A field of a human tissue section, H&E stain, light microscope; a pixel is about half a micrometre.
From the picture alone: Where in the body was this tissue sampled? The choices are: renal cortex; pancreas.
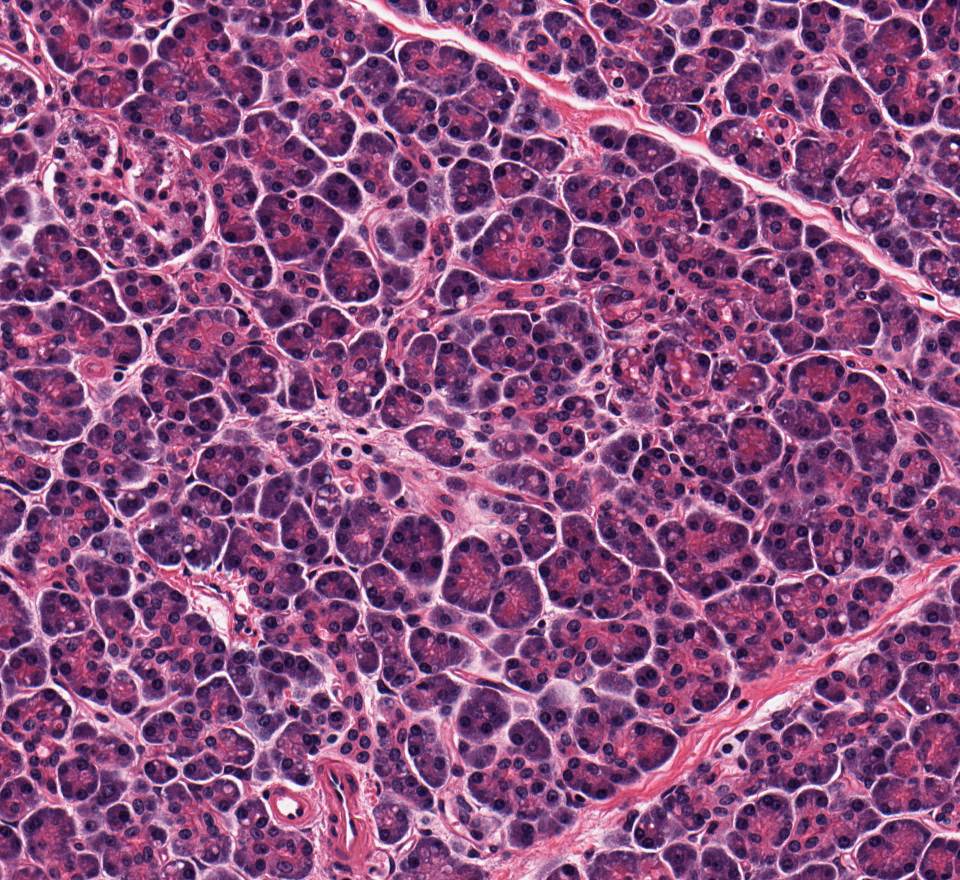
pancreas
